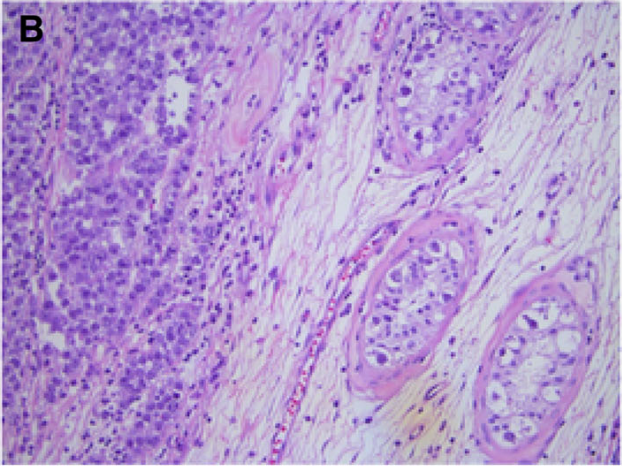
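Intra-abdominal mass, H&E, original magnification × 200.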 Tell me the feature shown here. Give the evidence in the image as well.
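Residual seminiferous tubules. Round tubular profiles with a pink basement membrane on the right. Tubules lie in loose pale stroma beside a sheet of tumour cells.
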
